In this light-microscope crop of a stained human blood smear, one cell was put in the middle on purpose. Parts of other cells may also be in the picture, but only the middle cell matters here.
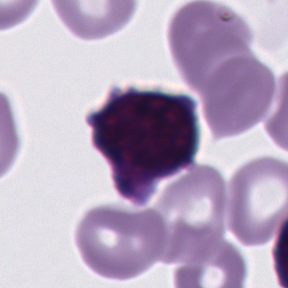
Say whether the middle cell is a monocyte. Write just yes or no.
no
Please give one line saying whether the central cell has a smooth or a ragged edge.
Smoothness is lacking at the edge, which is ragged in places or drawn into projections.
